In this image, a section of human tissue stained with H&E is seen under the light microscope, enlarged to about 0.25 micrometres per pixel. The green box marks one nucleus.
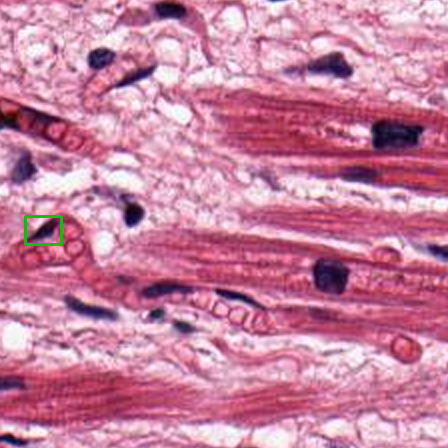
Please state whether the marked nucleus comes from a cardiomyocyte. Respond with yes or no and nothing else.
no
